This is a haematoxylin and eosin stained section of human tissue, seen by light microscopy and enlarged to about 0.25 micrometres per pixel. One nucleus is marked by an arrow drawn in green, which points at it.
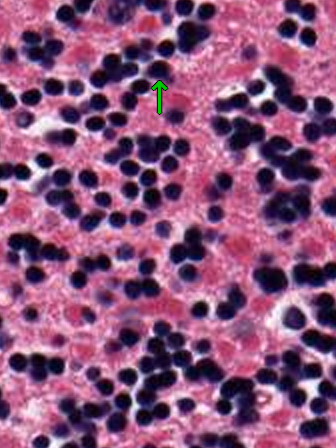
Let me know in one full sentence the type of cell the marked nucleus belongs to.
The cell to which the marked nucleus belongs is a cerebellar granule cell.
